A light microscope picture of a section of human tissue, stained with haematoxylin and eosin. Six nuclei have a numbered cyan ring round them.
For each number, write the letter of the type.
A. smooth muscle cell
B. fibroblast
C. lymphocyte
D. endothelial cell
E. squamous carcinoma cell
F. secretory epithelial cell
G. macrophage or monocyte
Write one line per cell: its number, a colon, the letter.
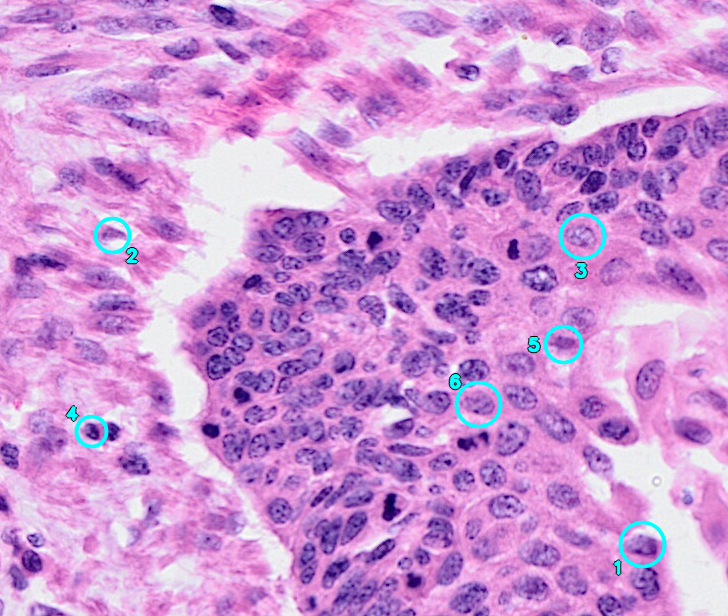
1: E
2: B
3: E
4: C
5: E
6: E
